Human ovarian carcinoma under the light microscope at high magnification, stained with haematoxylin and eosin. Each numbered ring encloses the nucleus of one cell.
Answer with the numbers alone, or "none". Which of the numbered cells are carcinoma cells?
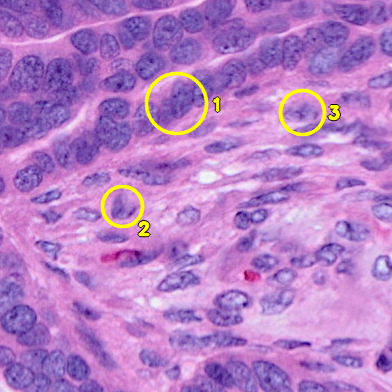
1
